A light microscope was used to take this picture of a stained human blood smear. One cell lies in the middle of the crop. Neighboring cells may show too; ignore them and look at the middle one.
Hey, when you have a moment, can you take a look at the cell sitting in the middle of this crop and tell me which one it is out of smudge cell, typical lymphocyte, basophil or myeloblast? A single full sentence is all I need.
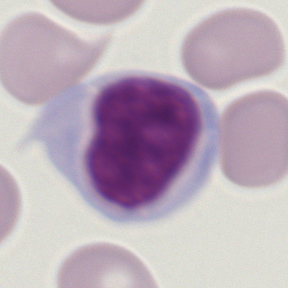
The centrally placed cell is classified as a typical lymphocyte.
